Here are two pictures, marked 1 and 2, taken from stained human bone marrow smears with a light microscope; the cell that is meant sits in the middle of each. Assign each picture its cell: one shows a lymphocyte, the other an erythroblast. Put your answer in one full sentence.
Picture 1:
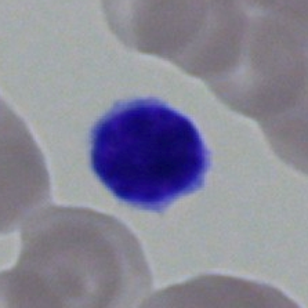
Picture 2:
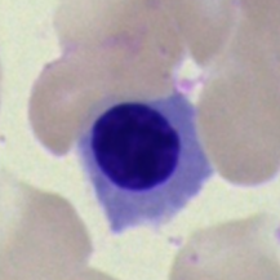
In picture 1 the cell is a lymphocyte; in picture 2, an erythroblast.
